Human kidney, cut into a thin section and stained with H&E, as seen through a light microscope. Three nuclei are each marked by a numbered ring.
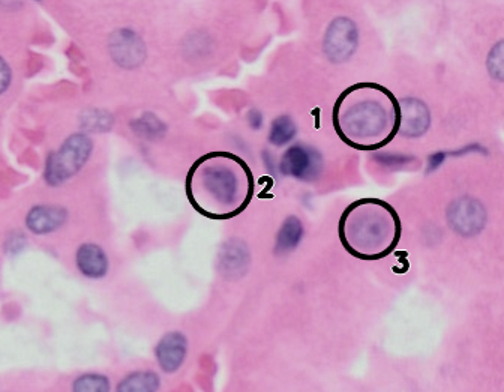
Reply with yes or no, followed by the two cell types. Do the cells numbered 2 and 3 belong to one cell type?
No, as to type, cell 2 is a loop of Henle or distal tubule cell, and cell 3 is a proximal tubule cell.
